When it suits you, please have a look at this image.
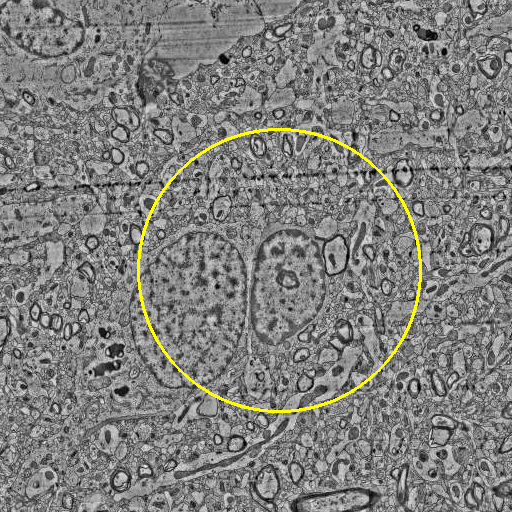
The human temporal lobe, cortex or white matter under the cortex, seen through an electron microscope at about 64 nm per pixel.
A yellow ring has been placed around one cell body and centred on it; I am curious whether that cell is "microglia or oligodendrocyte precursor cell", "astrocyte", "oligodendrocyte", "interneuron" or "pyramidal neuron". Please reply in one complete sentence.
The ringed cell, an oligodendrocyte, has its body at the centre of the yellow ring.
